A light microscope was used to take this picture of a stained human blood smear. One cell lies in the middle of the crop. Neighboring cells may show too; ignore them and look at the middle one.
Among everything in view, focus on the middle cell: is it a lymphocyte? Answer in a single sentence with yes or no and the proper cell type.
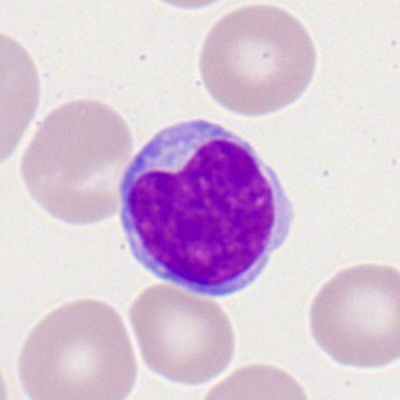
Yes, the cell in the middle of the view is a lymphocyte.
